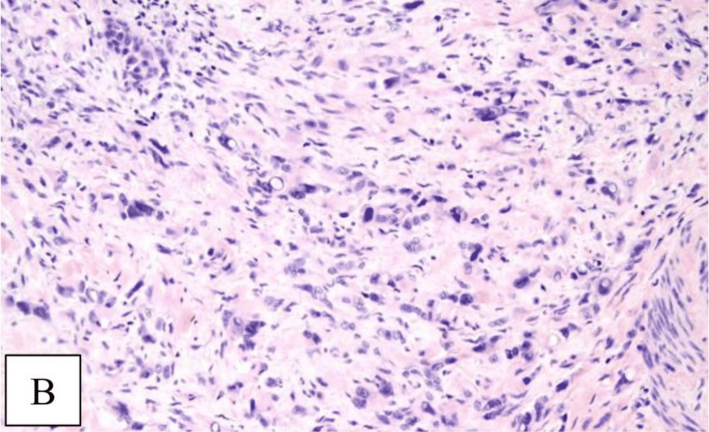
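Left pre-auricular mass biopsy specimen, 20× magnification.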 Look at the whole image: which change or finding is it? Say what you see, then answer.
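Nuclei vary greatly in size and shape. Some nuclei are large and dark, others small and oval.
Hence: marked pleomorphism.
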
